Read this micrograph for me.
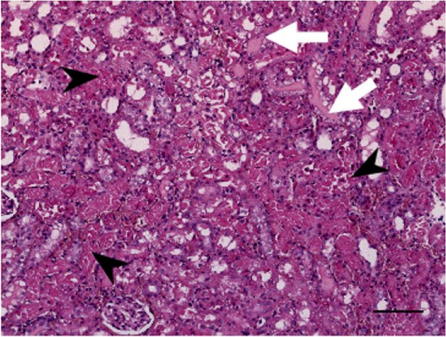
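This section of kidney cortex shows tubules with marked injury among scattered glomeruli. Many tubules are packed with bright pink, eosinophilic material, and their epithelial lining is disrupted with few distinct nuclei, consistent with tubular necrosis. Some tubule lumens contain smooth, homogeneous pink casts that take the shape of the tubule. Blue nuclei are scattered in the interstitium between the damaged tubules. A glomerulus is visible near the lower left corner.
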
